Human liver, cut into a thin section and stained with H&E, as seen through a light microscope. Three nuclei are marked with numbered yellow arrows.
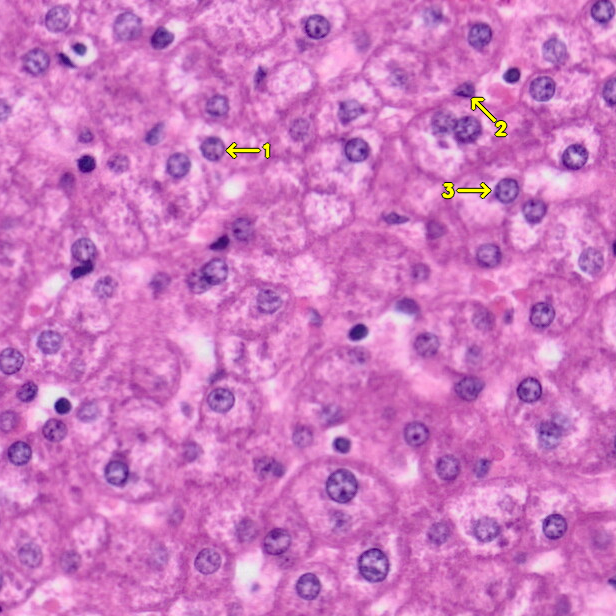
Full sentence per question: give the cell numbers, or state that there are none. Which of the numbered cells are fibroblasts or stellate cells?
Cell 2 stands alone among the numbered cells as a fibroblast or stellate cell.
